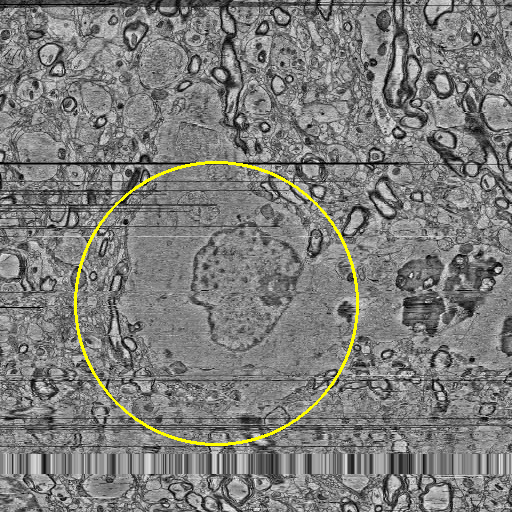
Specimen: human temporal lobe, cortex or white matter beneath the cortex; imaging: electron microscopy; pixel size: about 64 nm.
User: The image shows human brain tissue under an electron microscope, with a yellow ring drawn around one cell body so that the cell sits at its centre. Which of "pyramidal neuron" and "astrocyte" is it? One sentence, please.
At the centre of the ring sits an astrocyte.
